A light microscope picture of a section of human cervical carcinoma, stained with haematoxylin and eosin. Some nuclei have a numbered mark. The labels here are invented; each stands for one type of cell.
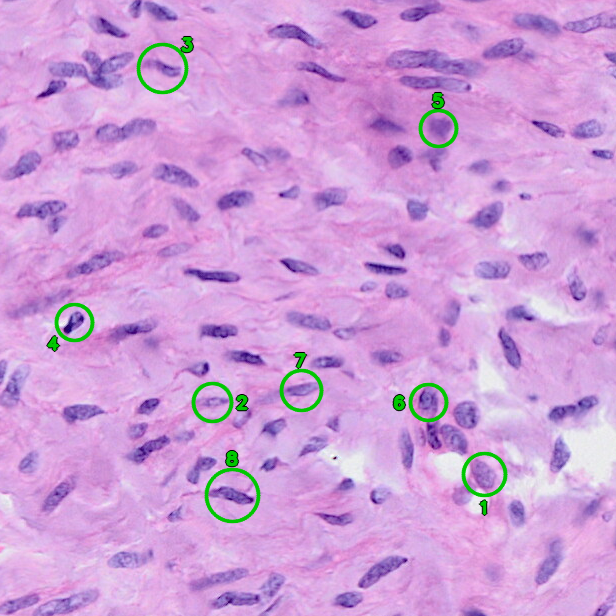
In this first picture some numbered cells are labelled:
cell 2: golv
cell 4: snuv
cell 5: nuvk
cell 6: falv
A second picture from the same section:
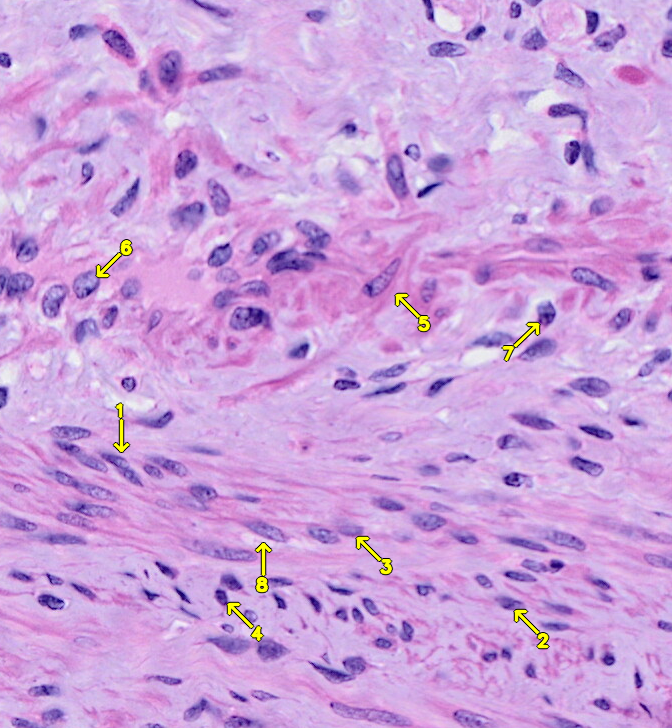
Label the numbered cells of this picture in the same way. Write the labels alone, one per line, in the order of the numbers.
golv
golv
golv
nuvk
golv
falv
snuv
golv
